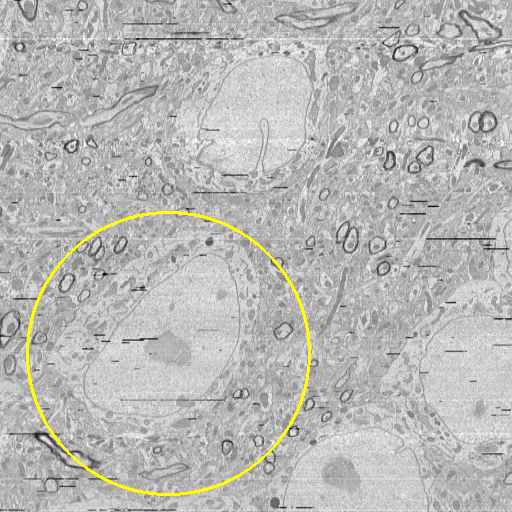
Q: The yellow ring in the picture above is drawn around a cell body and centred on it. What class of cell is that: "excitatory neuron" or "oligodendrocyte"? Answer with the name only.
excitatory neuron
